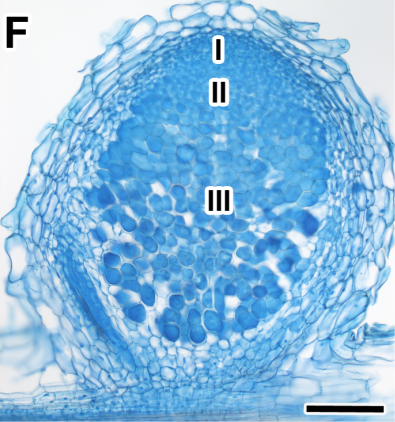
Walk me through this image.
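This longitudinal section of a root nodule shows its zones from tip to base. At the apex, beneath a layer of flattened outer cells, lies the meristem of small, densely packed cells. The base of the central tissue is the nitrogen fixation zone, filled with large rounded cells whose cytoplasm stains dense dark blue; smaller paler cells lie scattered between them. A cortex of several layers of pale, polygonal cells surrounds the whole central tissue, and the nodule sits on the root at its base.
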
